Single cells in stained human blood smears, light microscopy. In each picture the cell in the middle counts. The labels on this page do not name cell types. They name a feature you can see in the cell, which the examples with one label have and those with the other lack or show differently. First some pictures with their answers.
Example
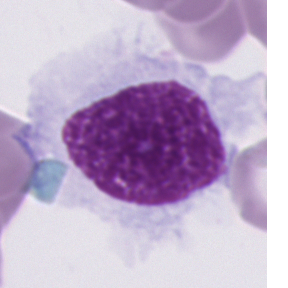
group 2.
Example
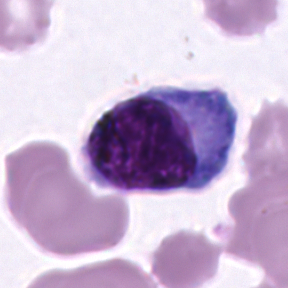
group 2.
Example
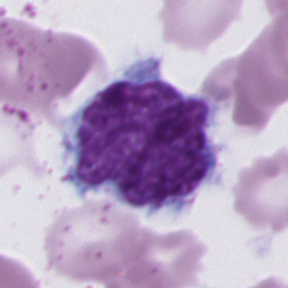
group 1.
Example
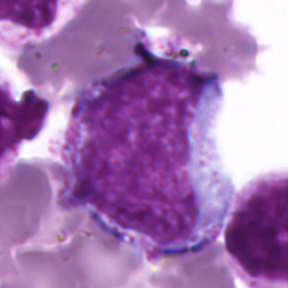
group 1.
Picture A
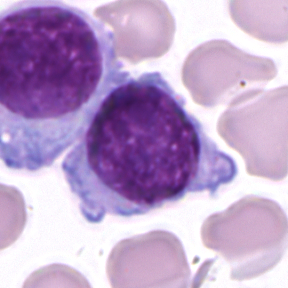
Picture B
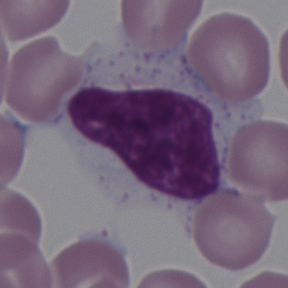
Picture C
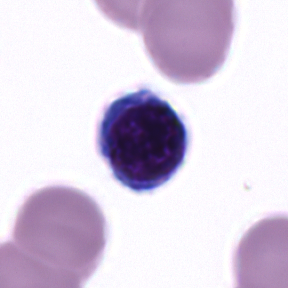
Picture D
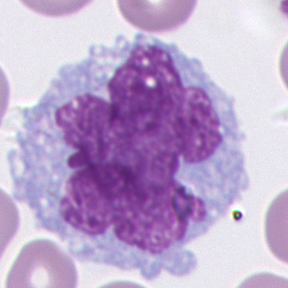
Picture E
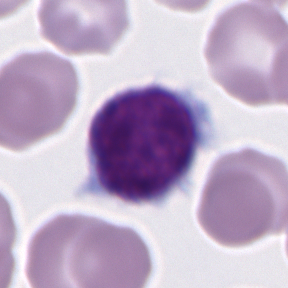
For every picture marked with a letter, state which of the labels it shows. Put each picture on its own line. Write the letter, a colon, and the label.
A: group 1.
B: group 2.
C: group 1.
D: group 2.
E: group 1.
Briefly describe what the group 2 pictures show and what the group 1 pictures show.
Seen in group 2: abundant cytoplasm; seen in group 1: scant cytoplasm.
